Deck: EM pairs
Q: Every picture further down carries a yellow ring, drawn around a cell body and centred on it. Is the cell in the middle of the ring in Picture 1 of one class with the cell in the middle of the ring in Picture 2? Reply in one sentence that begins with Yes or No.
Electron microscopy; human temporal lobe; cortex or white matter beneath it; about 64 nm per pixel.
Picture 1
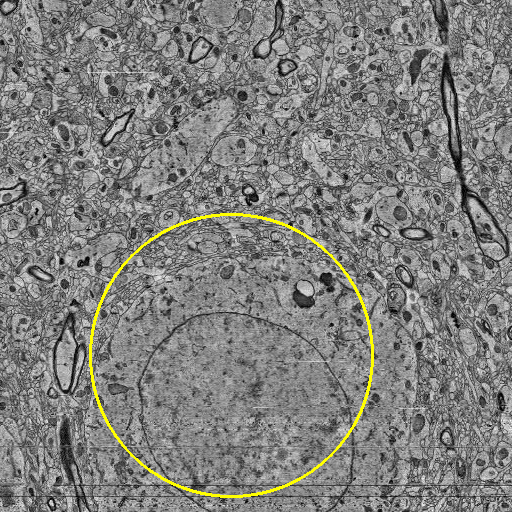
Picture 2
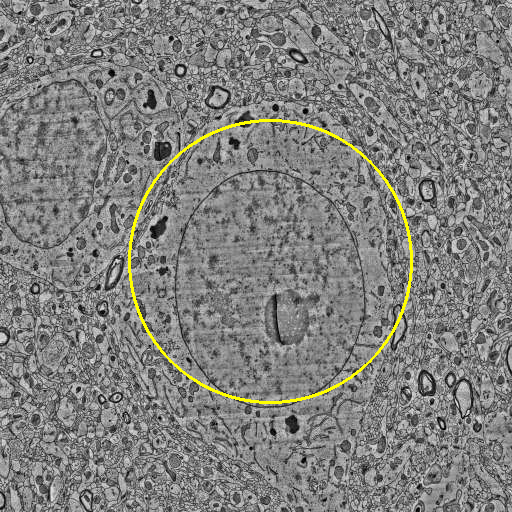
Yes, the cell centred in the ring of Picture 1 and the one in Picture 2 belong to one class.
